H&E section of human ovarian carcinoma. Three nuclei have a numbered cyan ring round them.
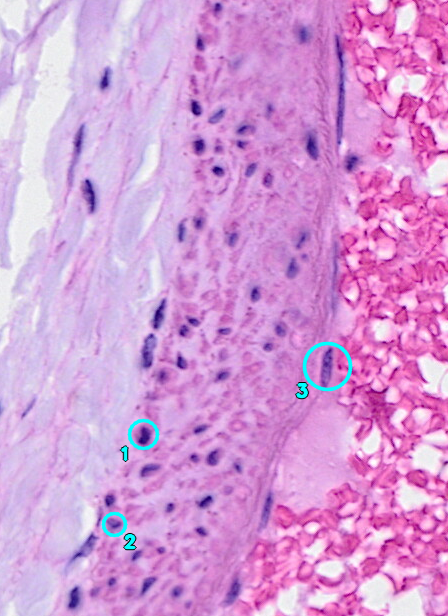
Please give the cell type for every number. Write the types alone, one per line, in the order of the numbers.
smooth muscle cell
smooth muscle cell
endothelial cell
